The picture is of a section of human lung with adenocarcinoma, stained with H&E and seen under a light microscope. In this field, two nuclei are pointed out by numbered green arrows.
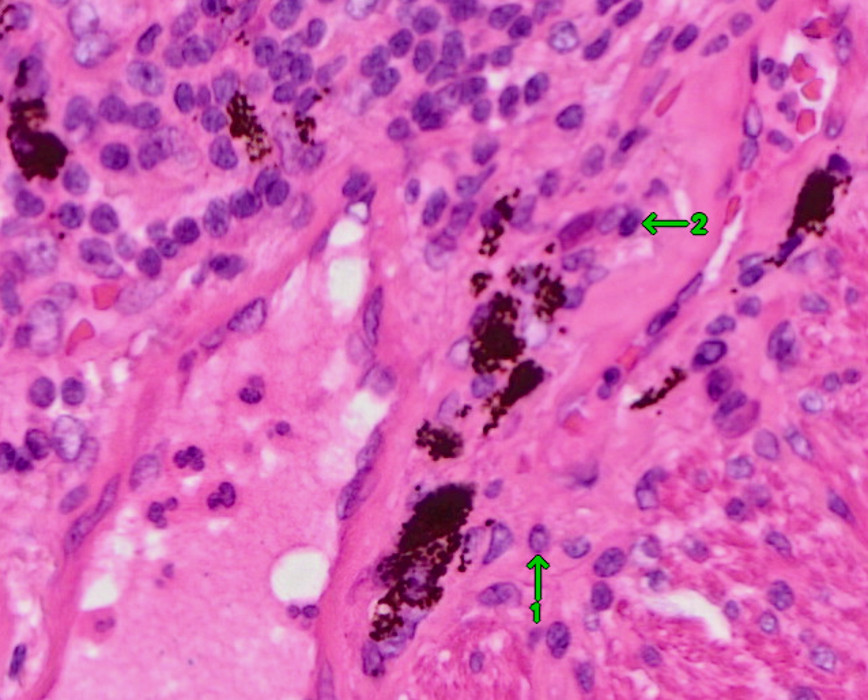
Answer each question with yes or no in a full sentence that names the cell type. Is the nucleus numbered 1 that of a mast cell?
Yes, the cell that bears number 1 is a mast cell.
